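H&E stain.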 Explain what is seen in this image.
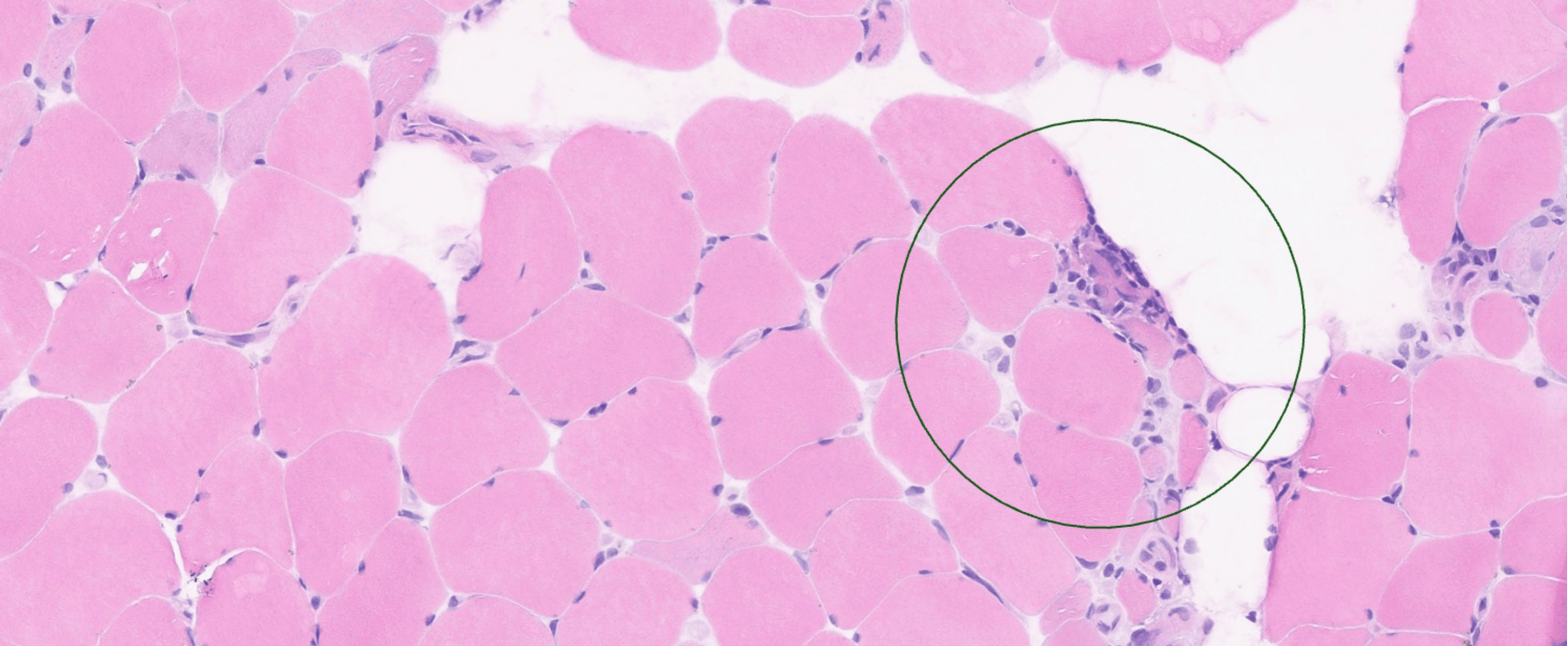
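A cross-section of skeletal muscle shows polygonal to rounded pink fibers of somewhat varied size, with dark nuclei at their edges. Between the fibers at one spot is a cluster of small cells with dark round nuclei, beside pale empty spaces.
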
